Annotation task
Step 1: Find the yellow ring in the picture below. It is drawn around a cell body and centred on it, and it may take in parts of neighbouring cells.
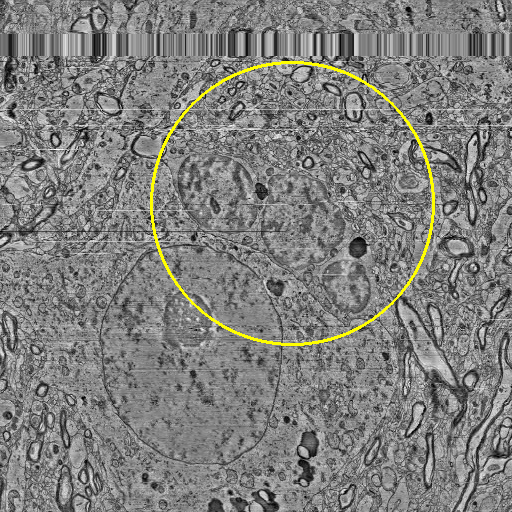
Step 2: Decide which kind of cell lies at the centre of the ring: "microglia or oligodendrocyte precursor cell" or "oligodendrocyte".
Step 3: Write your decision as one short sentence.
The kind of cell at the ring's centre is an oligodendrocyte.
